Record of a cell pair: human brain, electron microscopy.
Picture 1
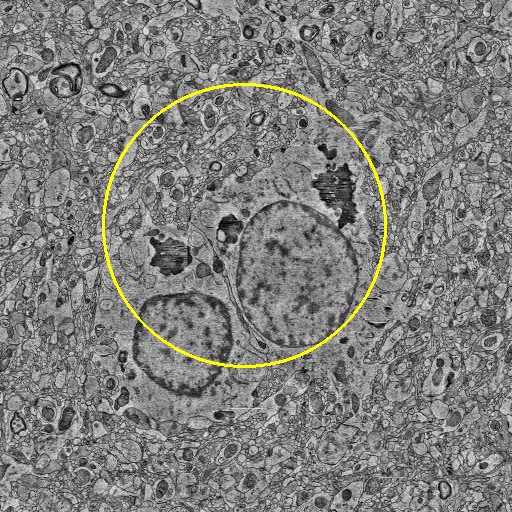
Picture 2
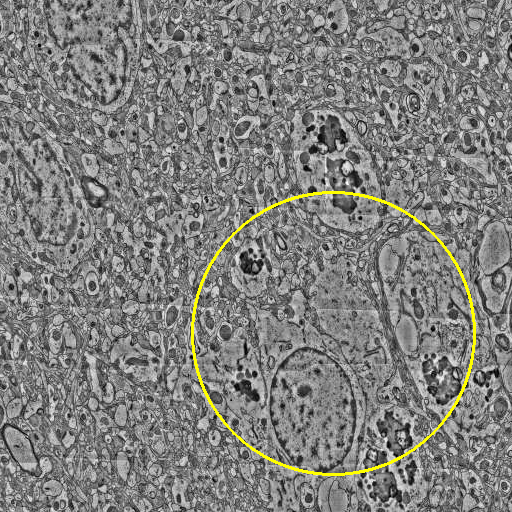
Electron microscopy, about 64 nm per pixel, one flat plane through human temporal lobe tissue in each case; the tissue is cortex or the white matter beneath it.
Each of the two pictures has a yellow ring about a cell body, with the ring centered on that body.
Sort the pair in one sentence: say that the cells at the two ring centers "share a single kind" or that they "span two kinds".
The cells centered in the rings of Pictures 1 and 2 share a single kind.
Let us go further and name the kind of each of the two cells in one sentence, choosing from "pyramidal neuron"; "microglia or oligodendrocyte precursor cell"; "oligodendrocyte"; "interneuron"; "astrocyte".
The second cell is an astrocyte, just as the first is.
